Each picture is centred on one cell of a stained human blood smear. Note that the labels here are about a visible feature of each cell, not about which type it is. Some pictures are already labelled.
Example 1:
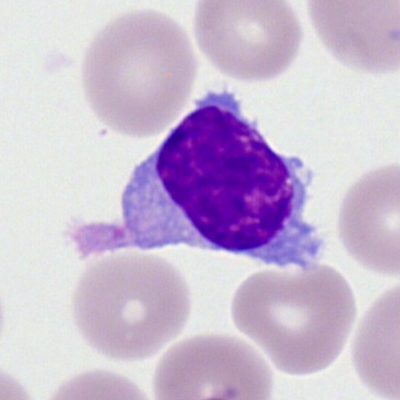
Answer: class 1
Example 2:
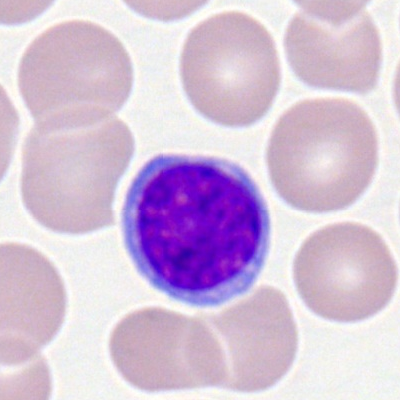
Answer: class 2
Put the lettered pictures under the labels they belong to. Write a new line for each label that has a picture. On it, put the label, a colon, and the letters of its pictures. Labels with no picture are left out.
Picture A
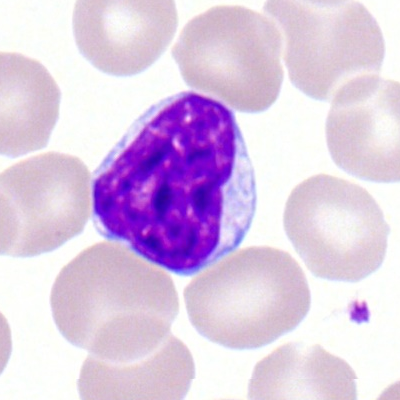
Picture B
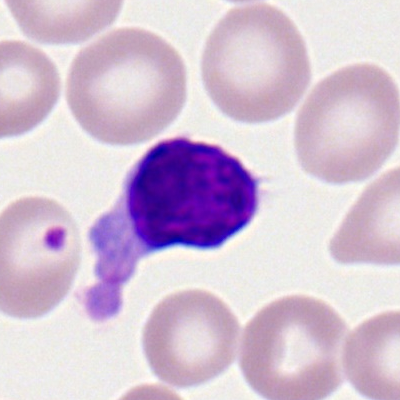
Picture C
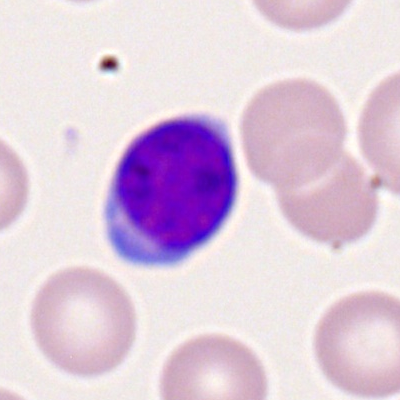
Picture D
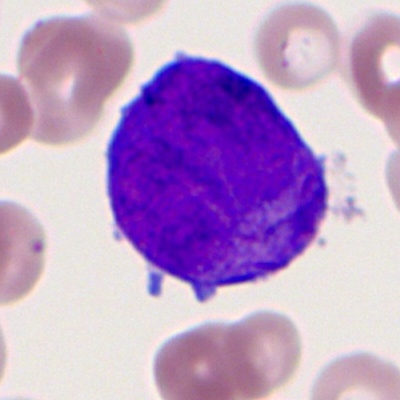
class 1: B, D
class 2: A, C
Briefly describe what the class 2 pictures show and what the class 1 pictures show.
Seen in class 2: smooth outline; seen in class 1: ragged outline or projections.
